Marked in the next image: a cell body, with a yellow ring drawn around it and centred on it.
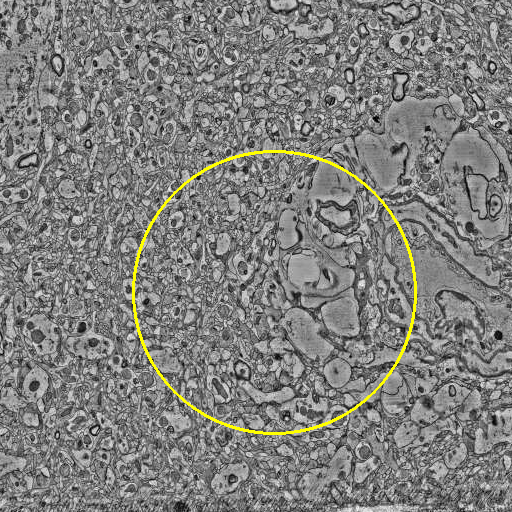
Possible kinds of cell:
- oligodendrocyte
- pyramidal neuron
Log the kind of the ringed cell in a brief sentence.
The ringed cell body is that of an oligodendrocyte.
